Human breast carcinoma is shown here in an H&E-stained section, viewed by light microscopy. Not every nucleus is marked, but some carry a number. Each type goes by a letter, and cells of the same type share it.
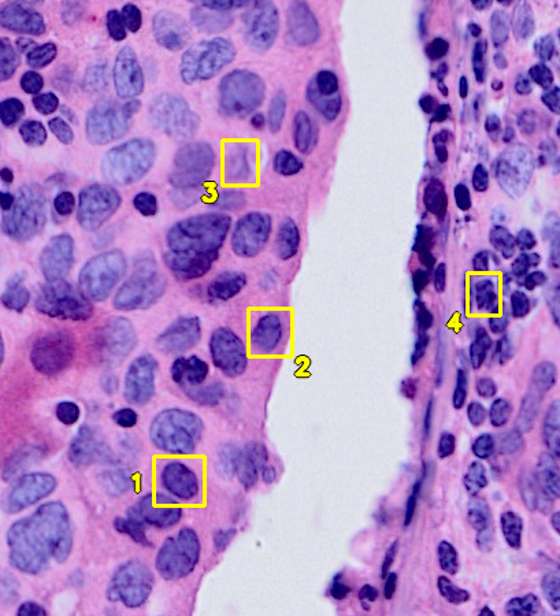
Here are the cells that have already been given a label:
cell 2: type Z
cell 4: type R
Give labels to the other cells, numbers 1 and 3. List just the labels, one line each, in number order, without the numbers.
type Z
type Z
